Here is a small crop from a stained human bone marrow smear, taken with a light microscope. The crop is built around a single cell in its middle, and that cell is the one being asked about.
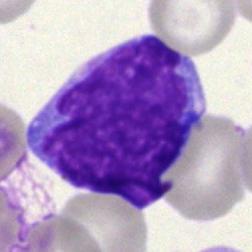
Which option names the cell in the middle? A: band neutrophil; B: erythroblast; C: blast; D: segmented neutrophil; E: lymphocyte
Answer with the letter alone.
C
